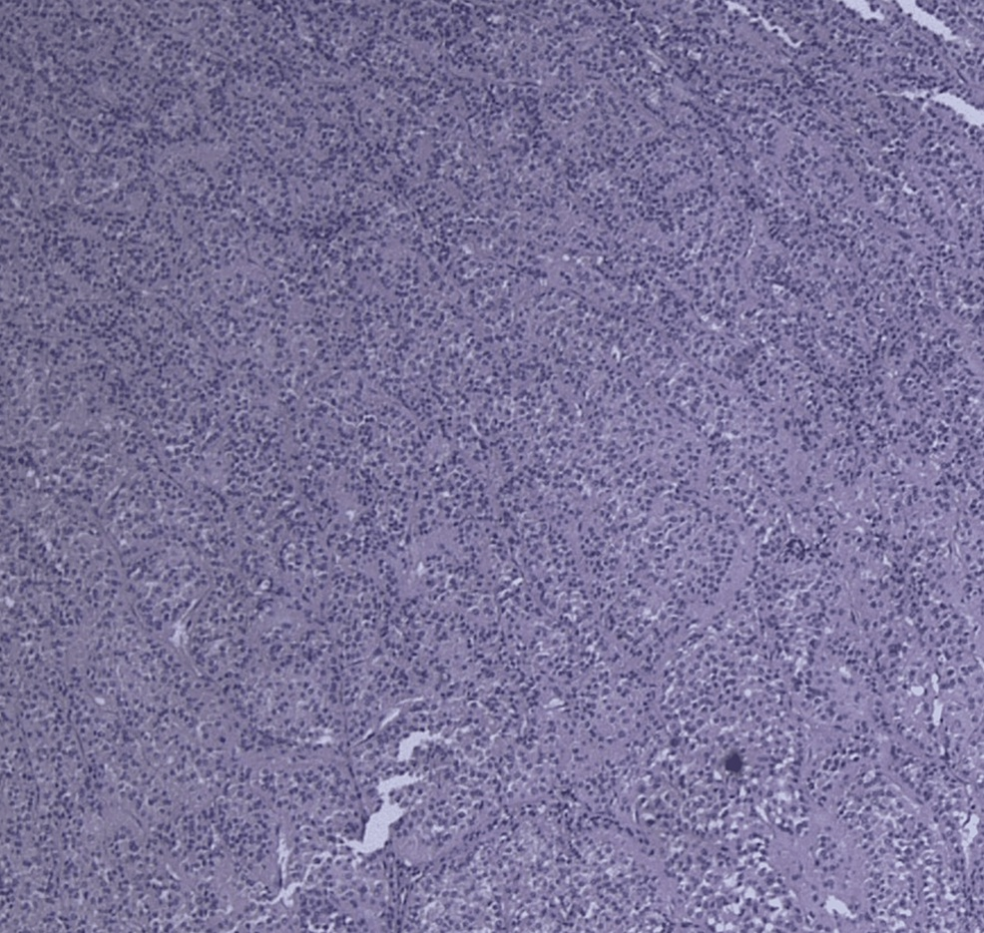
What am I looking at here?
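A low-power view of a solid tumor made up of closely packed, uniform cells arranged in nests and small clusters, separated by delicate strands of thin fibrovascular stroma that run through the field. Scattered small clefts and slit-like vascular spaces appear, mostly near the edges of the field. No necrosis or papillary structures are evident.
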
